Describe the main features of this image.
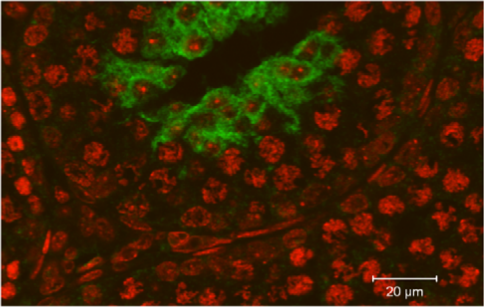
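This testis section shows a tubule with a cluster of green-filled cells, the developing spermatids, gathered near the lumen. Their cytoplasm is diffusely green around red nuclei. The rest of the epithelium consists of closely packed red nuclei of germ cells. Between these nuclei there are hardly any of the thin green strands that would run through the epithelium, so the stained material is confined to the luminal cluster.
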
